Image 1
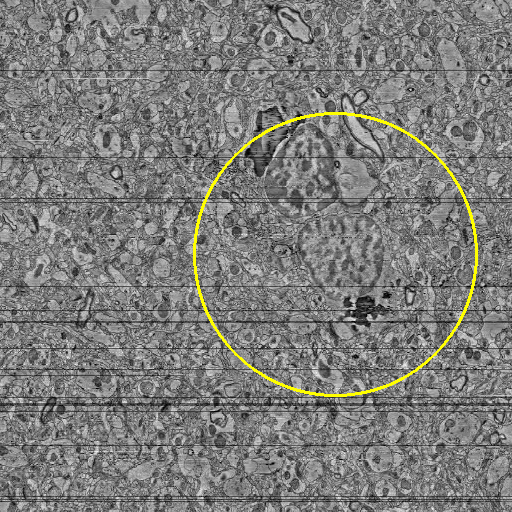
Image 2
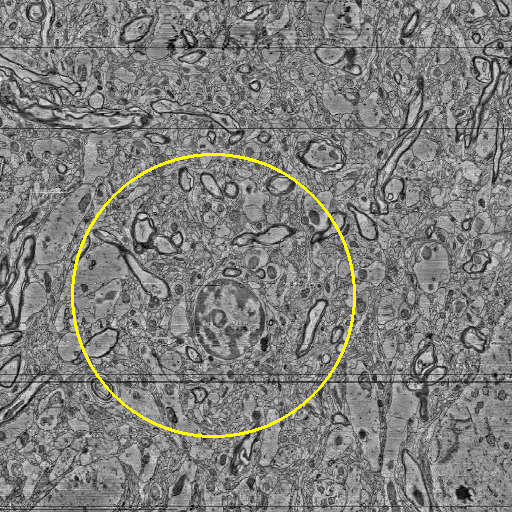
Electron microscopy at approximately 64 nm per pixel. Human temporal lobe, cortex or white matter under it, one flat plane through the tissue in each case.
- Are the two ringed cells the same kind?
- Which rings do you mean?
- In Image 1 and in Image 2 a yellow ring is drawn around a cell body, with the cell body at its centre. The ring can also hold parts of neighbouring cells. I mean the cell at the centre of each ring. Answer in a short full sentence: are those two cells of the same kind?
No, the cells are of two kinds.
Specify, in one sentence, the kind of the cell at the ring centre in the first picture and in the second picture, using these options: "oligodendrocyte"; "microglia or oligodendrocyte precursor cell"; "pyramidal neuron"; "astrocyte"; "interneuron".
So the first is an oligodendrocyte, the second a microglial cell or oligodendrocyte precursor cell.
